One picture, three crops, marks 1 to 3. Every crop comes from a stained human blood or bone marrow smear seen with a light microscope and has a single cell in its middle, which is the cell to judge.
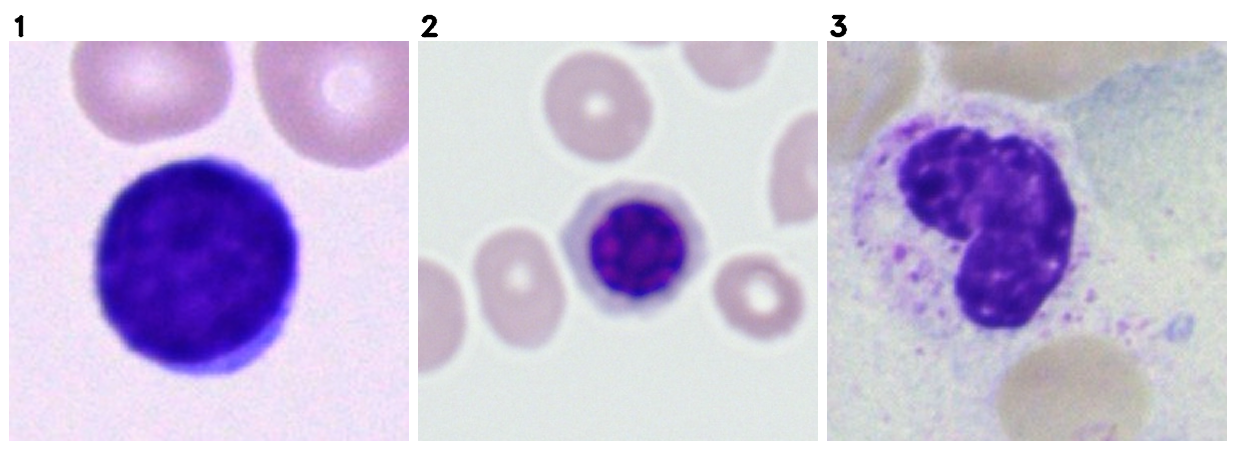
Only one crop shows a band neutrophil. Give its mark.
3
